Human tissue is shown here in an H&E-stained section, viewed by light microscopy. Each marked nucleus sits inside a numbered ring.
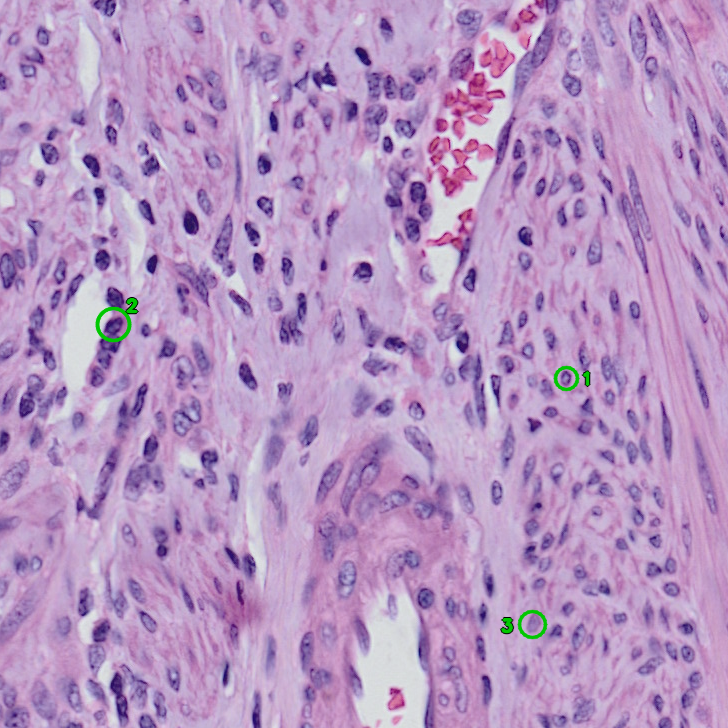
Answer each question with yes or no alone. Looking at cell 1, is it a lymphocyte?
no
